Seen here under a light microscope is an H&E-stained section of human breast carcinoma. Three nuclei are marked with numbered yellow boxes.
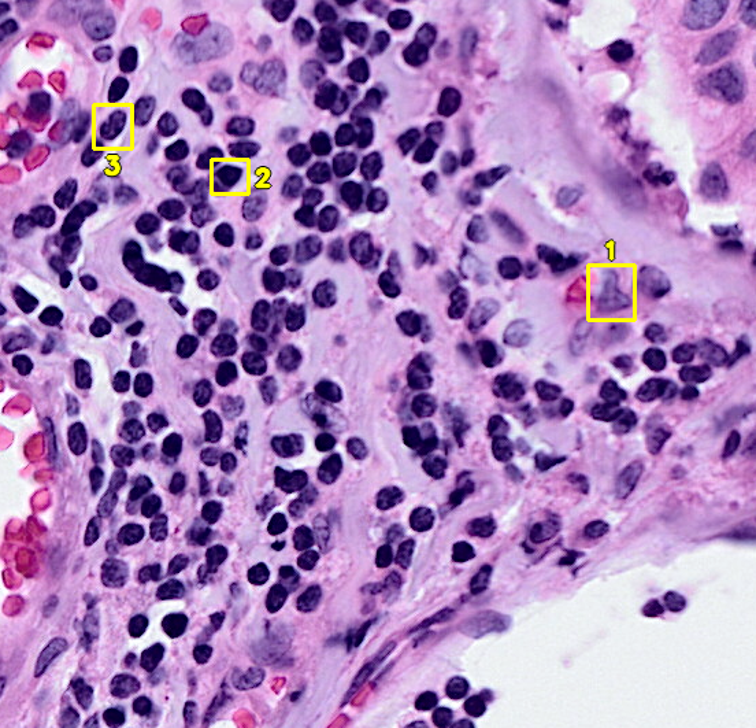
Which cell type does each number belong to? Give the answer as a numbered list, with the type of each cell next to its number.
1. endothelial cell
2. lymphocyte
3. lymphocyte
